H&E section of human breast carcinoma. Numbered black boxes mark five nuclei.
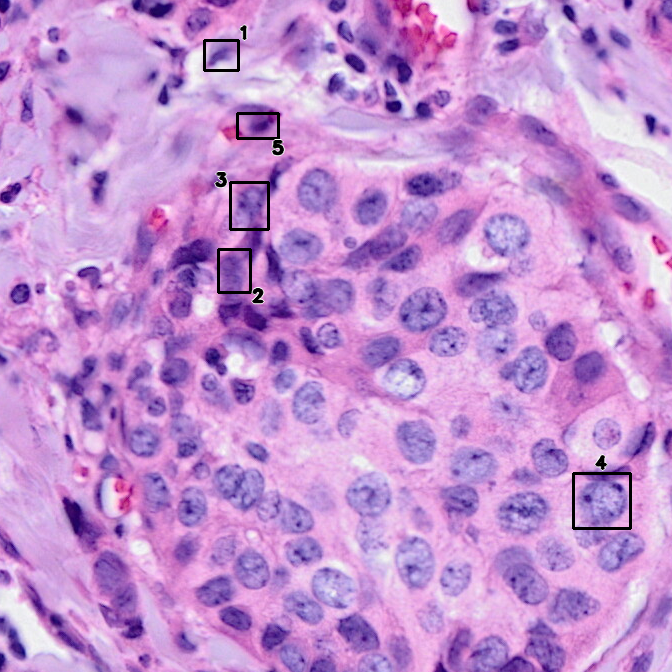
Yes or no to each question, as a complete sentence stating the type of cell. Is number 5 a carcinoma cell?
No, the cell bearing number 5 is not a carcinoma cell but an endothelial cell.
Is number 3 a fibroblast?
No, it is a carcinoma cell, not a fibroblast, that number 3 marks.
